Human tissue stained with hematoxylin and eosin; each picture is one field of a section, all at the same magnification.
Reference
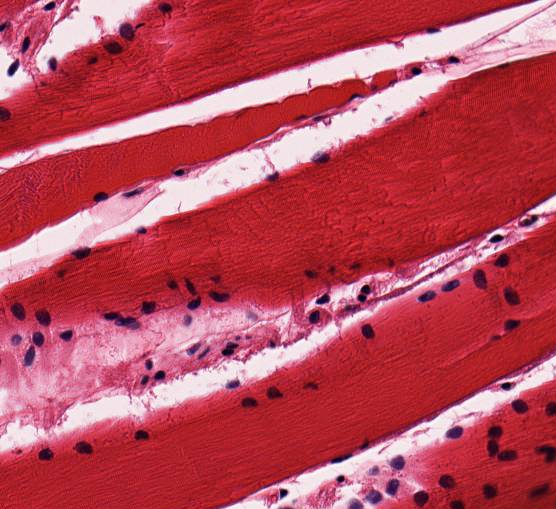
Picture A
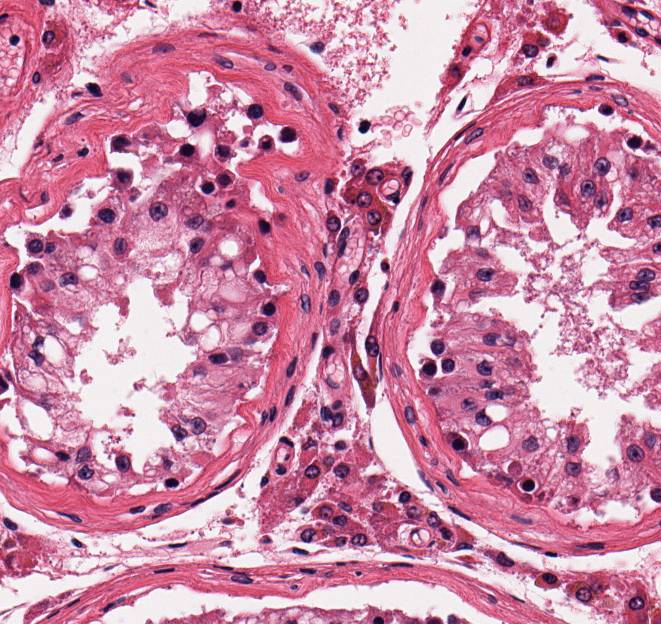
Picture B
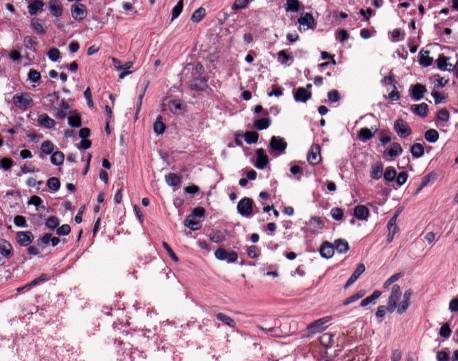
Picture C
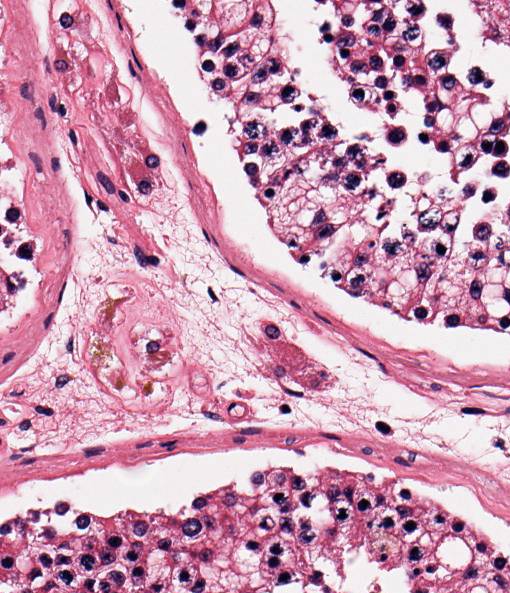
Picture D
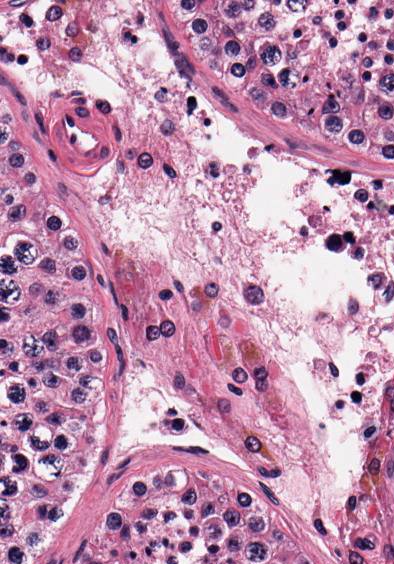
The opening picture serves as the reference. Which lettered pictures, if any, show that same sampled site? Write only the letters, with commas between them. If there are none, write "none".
none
